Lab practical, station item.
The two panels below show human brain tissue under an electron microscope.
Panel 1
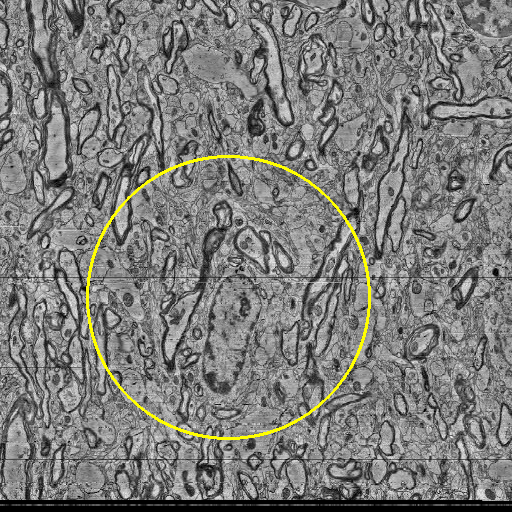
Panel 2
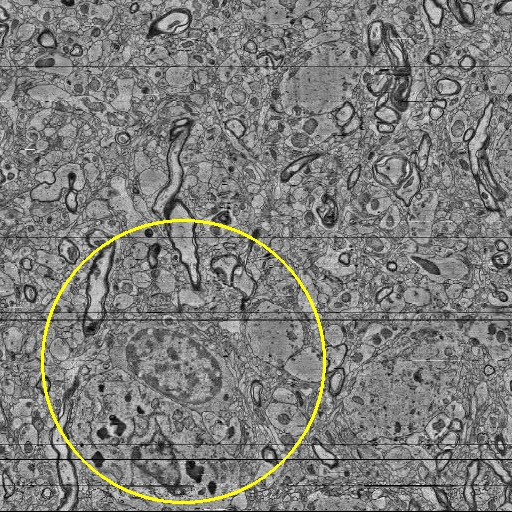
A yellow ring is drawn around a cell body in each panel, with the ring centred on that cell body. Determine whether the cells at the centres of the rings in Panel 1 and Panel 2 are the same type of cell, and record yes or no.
no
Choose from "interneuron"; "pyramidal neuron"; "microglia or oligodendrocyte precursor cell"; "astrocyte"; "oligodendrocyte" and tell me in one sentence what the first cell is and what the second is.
What the first ring is centred on is a microglial cell or oligodendrocyte precursor cell; what the second ring is centred on is an oligodendrocyte.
